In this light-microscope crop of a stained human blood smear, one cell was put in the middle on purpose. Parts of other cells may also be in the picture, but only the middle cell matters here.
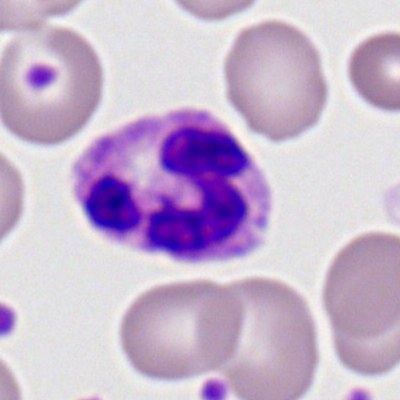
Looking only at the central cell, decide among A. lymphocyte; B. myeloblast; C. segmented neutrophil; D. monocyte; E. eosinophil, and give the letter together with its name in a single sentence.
Option C is the correct option, with the middle cell being a segmented neutrophil.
